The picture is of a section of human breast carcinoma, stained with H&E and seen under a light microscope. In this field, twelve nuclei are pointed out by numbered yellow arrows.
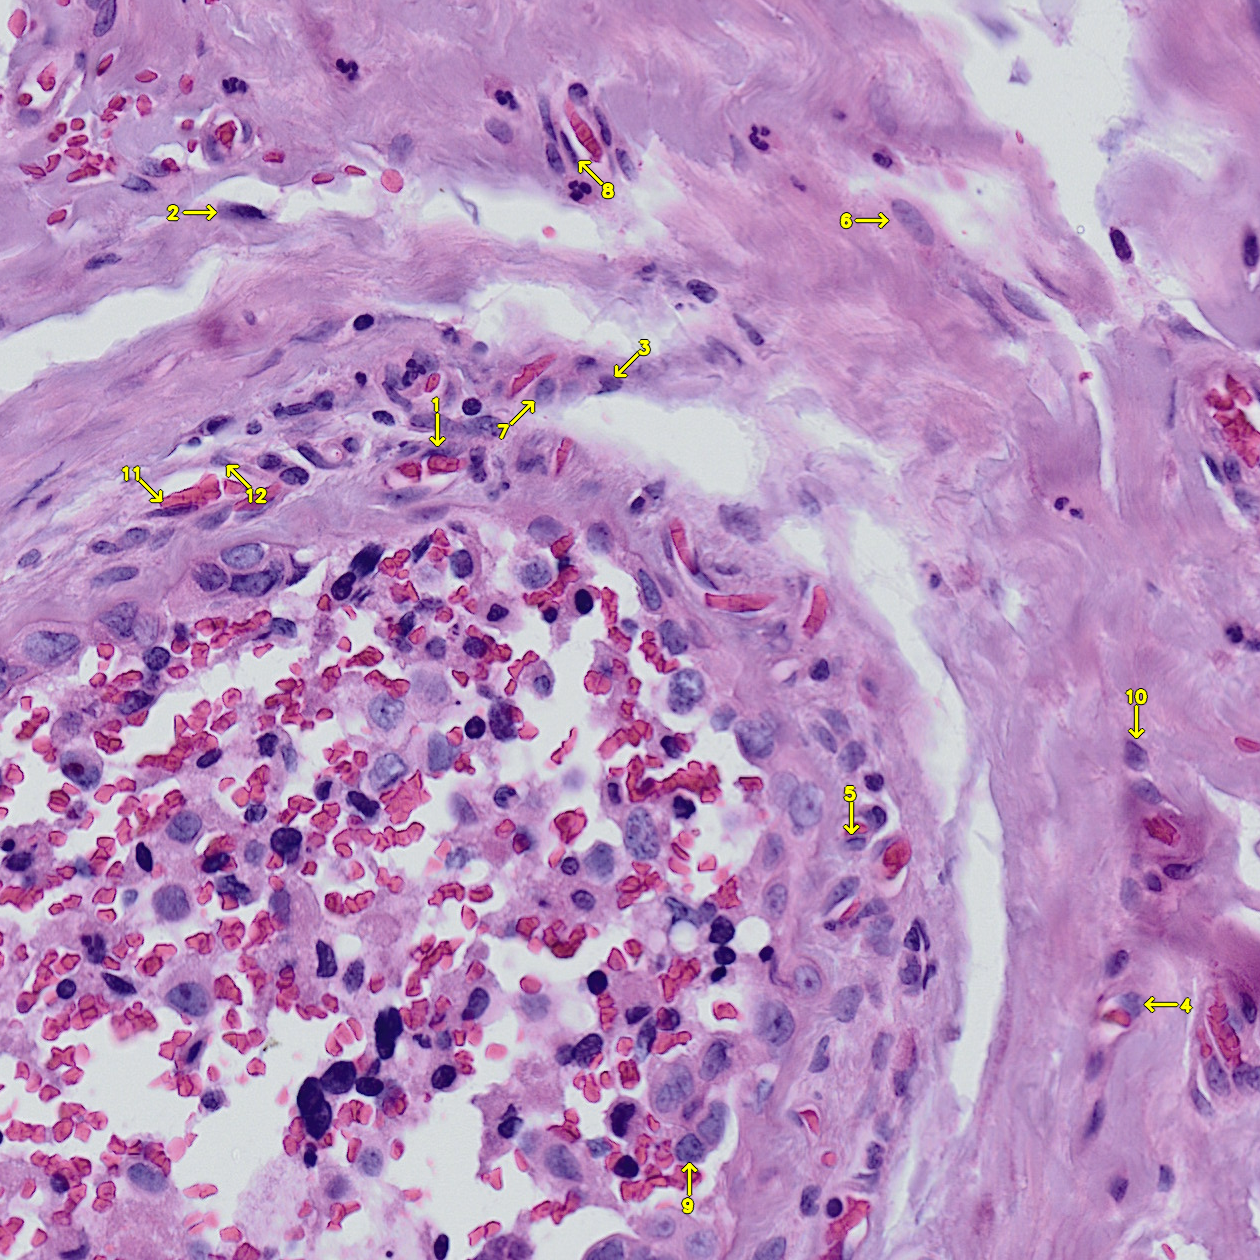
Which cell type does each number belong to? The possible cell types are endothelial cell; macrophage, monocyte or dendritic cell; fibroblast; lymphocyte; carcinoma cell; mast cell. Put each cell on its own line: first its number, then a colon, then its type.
1: endothelial cell
2: fibroblast
3: fibroblast
4: endothelial cell
5: endothelial cell
6: fibroblast
7: endothelial cell
8: endothelial cell
9: carcinoma cell
10: fibroblast
11: endothelial cell
12: endothelial cell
